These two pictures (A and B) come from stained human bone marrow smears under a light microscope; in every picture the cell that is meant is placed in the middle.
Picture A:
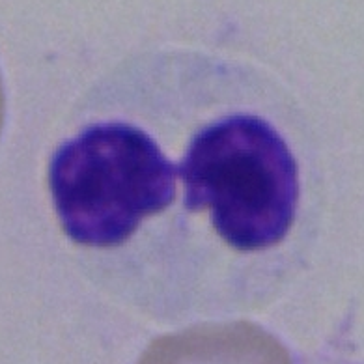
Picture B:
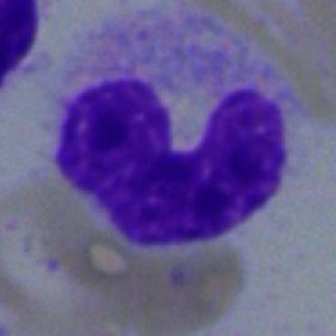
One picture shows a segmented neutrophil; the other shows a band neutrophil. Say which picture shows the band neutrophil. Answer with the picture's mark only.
B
